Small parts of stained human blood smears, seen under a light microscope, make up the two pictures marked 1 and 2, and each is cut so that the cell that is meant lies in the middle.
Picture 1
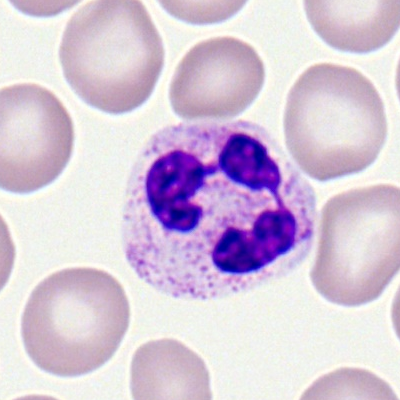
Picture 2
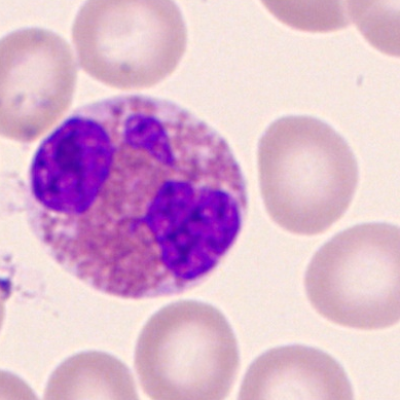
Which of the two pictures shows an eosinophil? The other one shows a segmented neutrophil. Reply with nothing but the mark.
2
